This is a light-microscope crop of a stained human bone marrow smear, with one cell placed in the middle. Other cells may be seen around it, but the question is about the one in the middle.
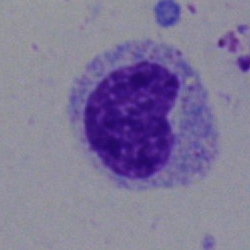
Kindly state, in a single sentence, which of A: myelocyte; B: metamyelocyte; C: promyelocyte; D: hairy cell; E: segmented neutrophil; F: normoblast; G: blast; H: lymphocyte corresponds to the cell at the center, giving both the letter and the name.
The central cell is a metamyelocyte, which makes option B the right answer.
